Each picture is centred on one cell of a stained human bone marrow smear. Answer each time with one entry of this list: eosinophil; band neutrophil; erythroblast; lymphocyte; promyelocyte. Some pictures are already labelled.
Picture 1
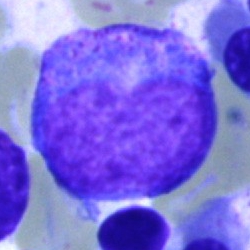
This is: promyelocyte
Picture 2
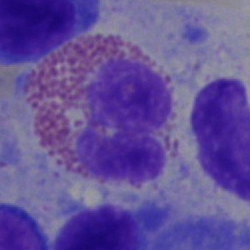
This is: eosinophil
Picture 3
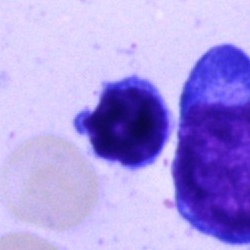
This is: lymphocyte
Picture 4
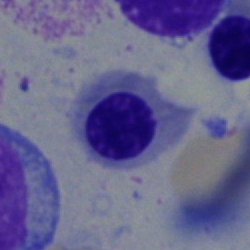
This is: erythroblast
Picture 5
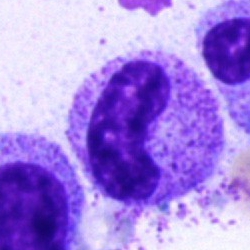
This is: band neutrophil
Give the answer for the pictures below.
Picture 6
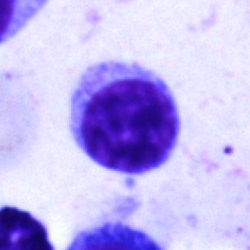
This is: lymphocyte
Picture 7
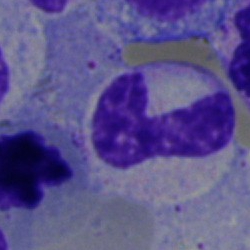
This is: band neutrophil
